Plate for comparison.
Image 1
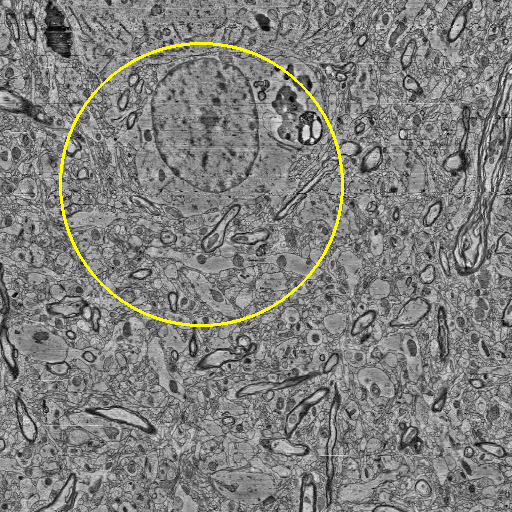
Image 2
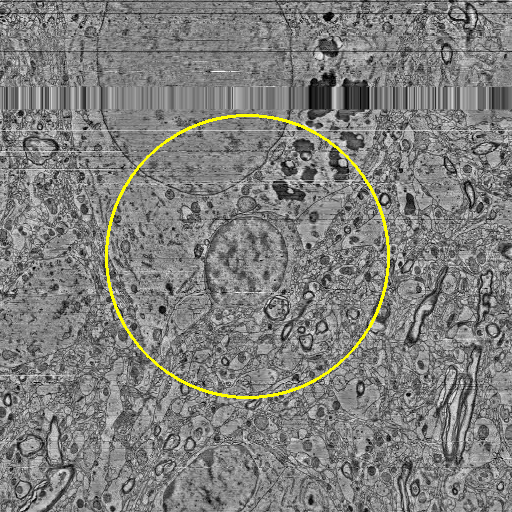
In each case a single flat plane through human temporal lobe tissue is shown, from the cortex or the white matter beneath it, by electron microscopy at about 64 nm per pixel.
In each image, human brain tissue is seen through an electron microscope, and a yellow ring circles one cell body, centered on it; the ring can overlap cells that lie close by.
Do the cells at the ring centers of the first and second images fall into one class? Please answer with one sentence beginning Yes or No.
No, the first and second images show two classes of cell at the ring centers.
